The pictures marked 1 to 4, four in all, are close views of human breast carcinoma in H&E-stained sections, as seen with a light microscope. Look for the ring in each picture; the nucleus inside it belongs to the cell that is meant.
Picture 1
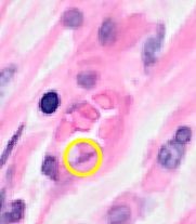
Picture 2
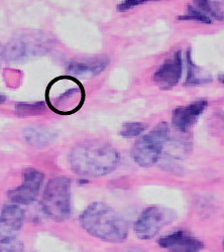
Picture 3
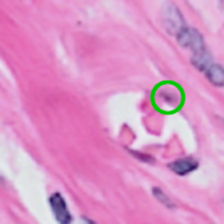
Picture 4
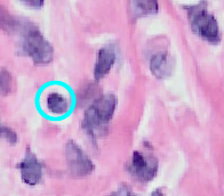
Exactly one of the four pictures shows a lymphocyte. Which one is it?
4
